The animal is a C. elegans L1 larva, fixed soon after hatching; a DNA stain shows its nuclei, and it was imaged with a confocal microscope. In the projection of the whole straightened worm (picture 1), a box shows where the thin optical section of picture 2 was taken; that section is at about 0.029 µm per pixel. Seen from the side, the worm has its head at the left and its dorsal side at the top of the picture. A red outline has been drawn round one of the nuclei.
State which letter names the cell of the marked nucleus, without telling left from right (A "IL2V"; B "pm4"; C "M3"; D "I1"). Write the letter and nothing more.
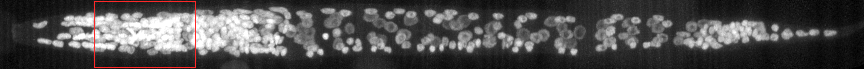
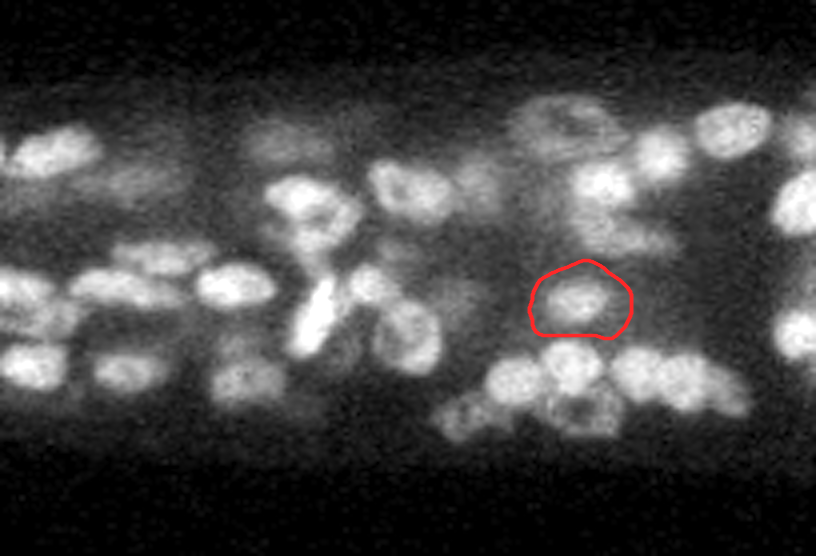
C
